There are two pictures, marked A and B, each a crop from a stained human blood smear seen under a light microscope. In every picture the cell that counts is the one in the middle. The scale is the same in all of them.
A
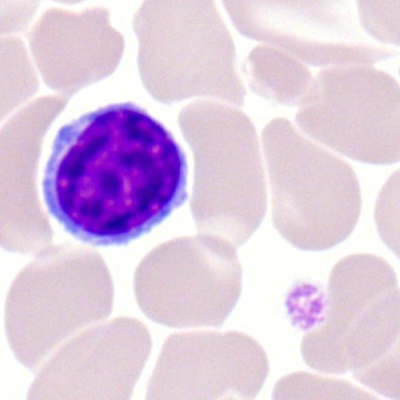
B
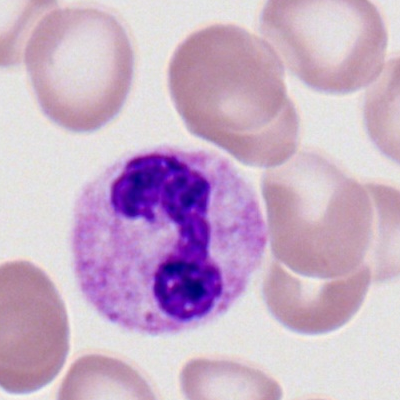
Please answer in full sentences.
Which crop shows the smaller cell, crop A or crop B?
Smaller is the cell in crop A, and the other is about 2 times as large in area.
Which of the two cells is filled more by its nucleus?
In crop A the nucleus takes up the larger part of its cell.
